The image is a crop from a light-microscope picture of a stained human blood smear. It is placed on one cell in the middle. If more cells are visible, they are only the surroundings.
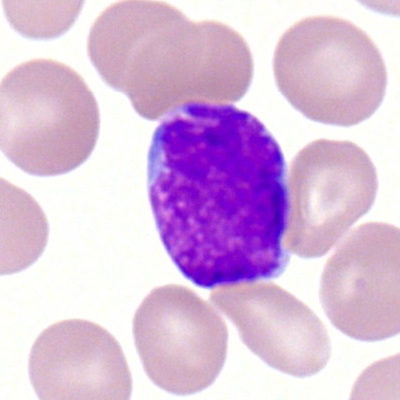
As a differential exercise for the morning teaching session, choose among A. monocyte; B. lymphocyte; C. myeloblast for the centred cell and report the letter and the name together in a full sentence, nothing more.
Option C, which names the central cell as a myeloblast, is correct.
